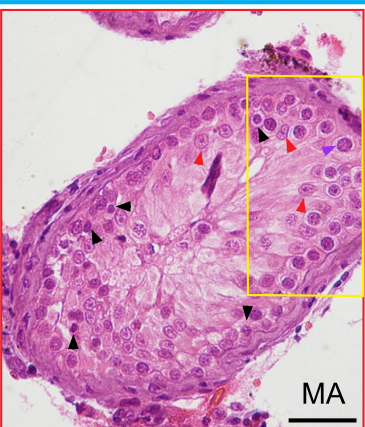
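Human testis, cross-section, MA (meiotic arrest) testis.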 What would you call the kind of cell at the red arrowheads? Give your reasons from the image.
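The marked nuclei are pale and irregular, with a visible nucleolus. They sit within pale columnar cytoplasm spanning the epithelium.
Sertoli cells.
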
